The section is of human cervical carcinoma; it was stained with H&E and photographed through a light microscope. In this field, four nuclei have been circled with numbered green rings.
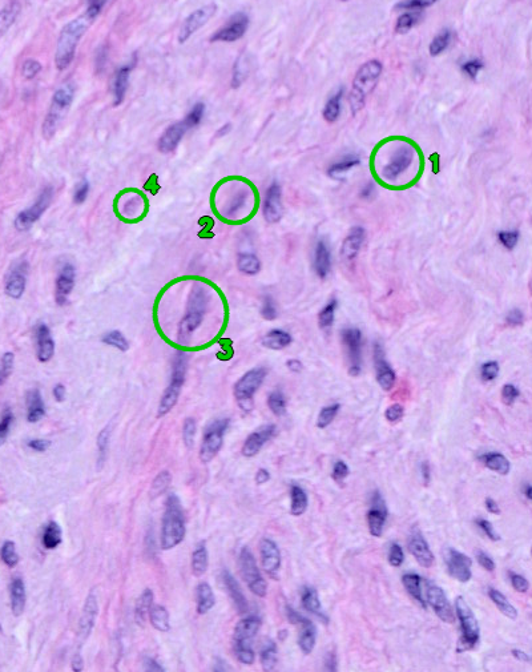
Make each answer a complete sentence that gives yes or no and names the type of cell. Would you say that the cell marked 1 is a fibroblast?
Yes, for number 1, the cell is a fibroblast.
